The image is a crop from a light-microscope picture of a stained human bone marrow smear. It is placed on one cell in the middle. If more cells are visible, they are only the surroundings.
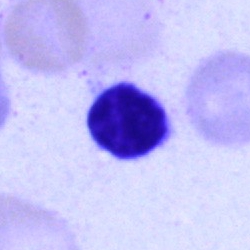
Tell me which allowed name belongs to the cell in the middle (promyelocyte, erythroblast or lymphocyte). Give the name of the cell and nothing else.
lymphocyte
